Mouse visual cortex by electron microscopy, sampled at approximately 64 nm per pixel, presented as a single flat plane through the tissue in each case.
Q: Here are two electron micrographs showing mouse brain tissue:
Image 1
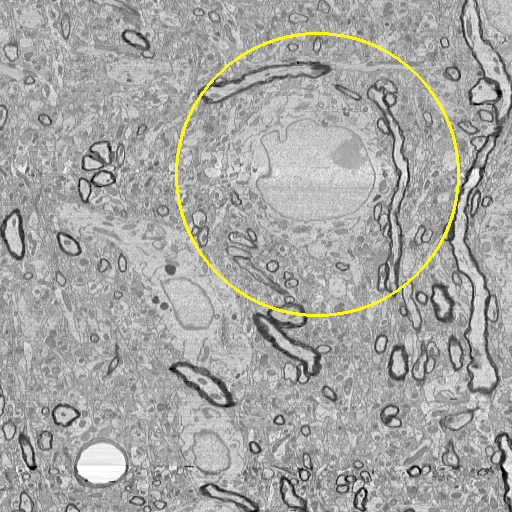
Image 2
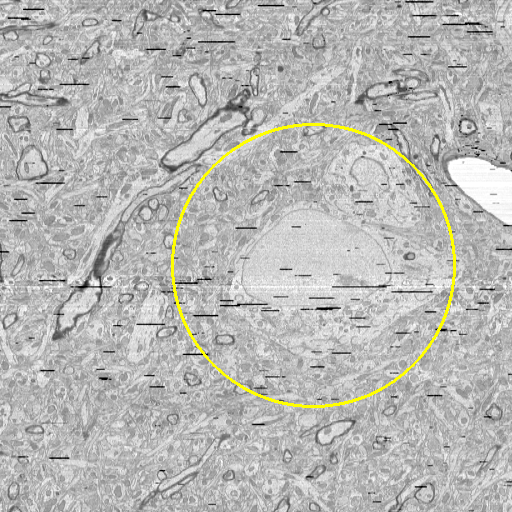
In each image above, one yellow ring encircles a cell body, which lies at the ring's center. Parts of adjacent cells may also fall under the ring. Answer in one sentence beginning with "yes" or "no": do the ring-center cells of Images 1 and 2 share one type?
Yes, in Images 1 and 2, the ring-center cells are both of one type.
